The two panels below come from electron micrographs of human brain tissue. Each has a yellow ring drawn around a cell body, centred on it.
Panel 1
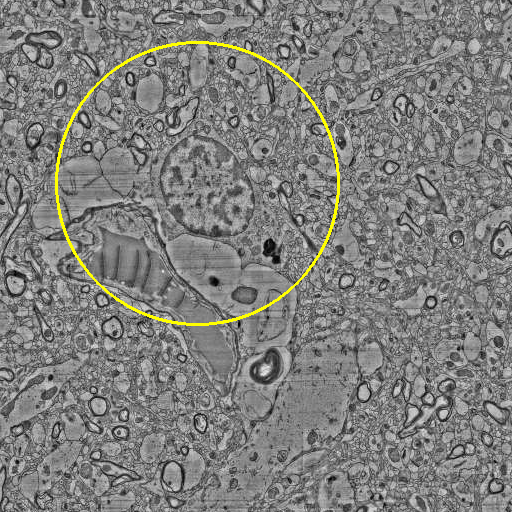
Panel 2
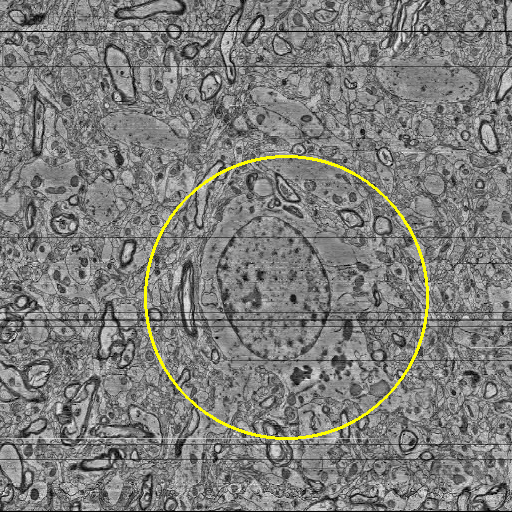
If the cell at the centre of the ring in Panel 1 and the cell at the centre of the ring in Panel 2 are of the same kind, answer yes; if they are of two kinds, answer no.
no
